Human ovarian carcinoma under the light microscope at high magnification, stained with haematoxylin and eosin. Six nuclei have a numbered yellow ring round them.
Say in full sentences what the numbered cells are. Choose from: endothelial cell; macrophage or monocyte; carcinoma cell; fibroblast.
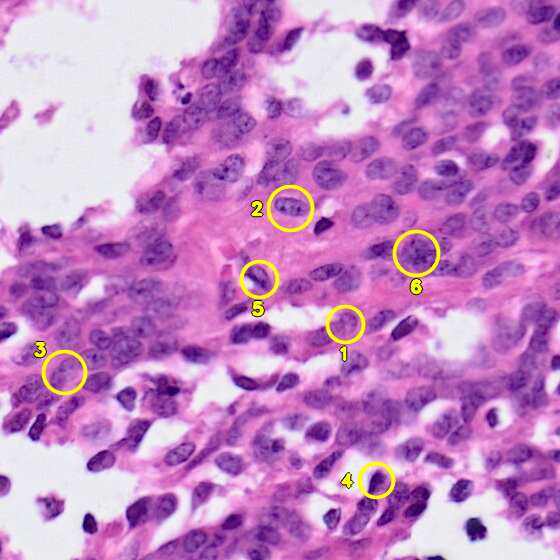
Cells 1, 3, 4 and 6 are carcinoma cells. Cell 2 is a macrophage or monocyte. Cell 5 is an endothelial cell.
